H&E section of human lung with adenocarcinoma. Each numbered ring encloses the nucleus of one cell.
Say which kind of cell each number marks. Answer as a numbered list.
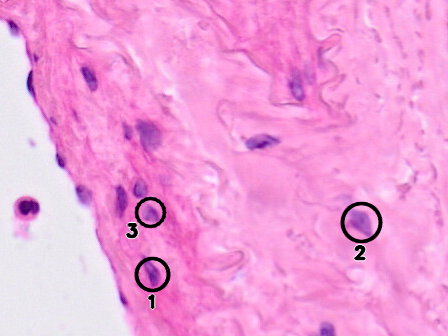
1. smooth muscle cell or pericyte
2. fibroblast
3. smooth muscle cell or pericyte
